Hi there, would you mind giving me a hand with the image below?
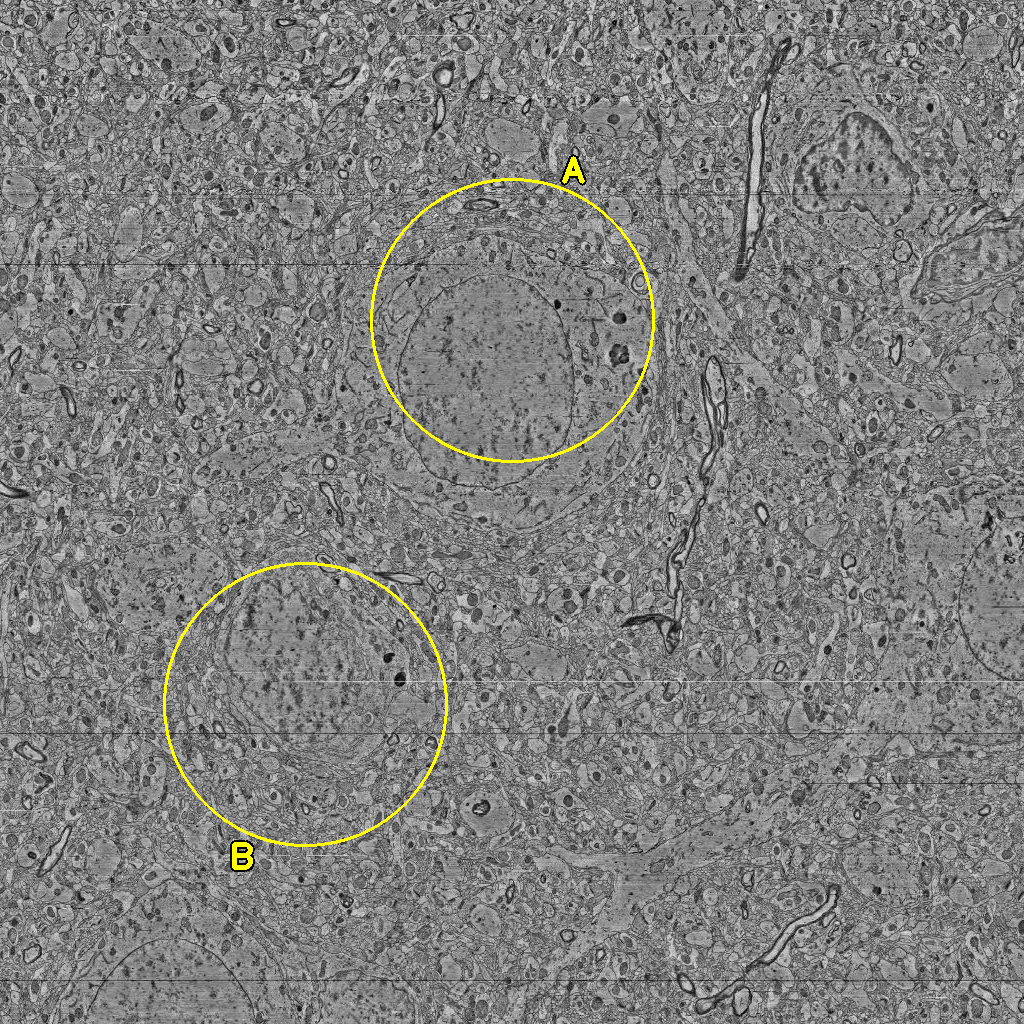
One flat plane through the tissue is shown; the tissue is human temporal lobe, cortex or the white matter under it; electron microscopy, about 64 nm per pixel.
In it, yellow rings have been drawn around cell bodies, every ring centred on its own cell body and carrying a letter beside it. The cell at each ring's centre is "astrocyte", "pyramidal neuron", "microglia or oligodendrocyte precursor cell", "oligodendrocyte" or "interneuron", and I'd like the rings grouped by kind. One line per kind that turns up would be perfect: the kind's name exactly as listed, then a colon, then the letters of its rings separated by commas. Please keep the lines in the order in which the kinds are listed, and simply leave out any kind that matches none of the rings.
pyramidal neuron: A
interneuron: B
